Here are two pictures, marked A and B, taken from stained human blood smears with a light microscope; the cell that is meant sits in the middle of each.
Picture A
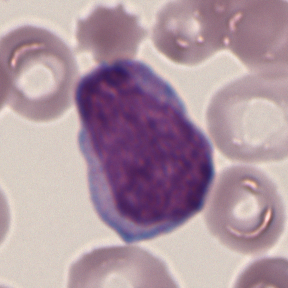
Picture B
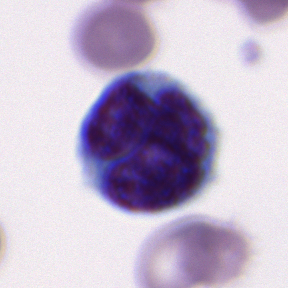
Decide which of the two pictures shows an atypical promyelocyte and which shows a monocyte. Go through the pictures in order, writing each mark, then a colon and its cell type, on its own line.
A: atypical promyelocyte
B: monocyte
